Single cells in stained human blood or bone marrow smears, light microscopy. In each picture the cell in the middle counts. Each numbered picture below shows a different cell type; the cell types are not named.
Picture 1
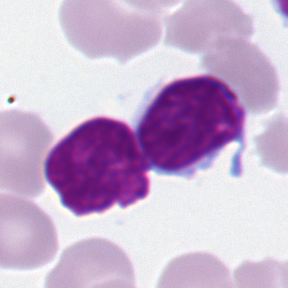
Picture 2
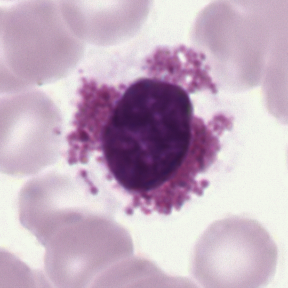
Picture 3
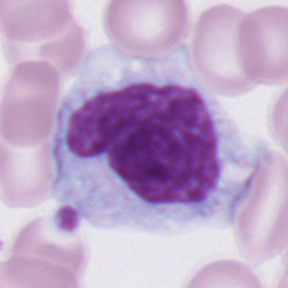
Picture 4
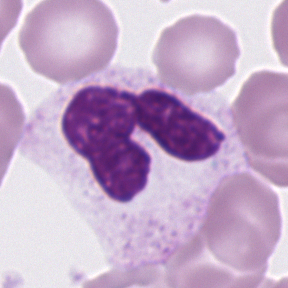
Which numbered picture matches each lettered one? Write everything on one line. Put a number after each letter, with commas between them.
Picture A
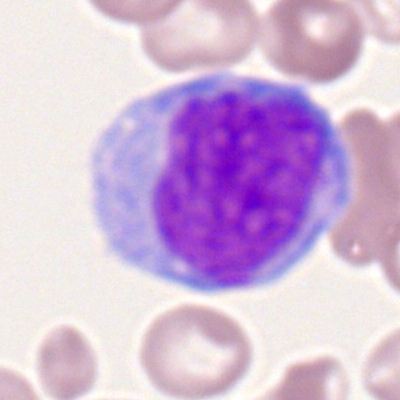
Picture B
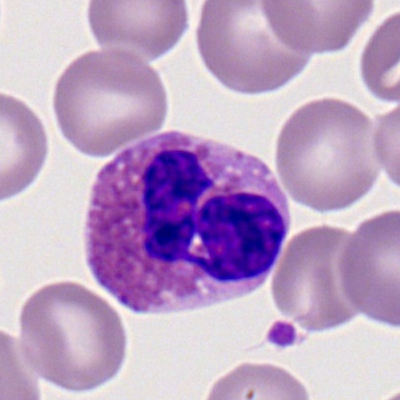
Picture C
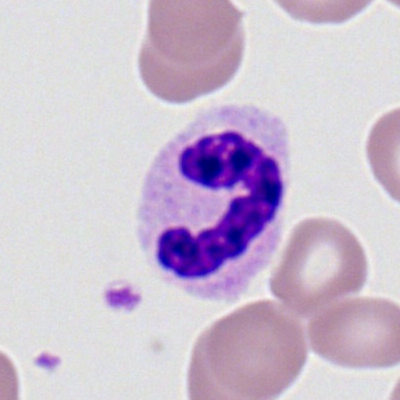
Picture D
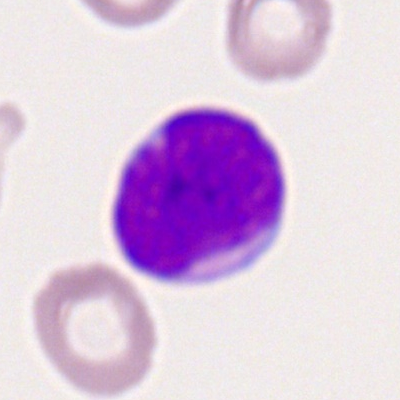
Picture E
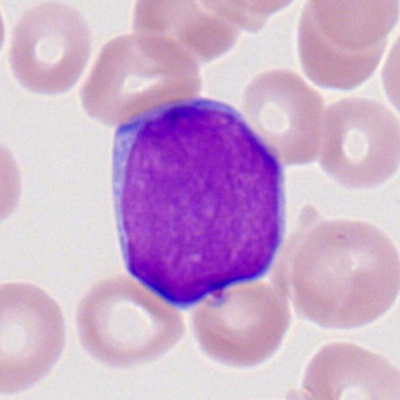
A 3, B 2, C 4, D 1, E 1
